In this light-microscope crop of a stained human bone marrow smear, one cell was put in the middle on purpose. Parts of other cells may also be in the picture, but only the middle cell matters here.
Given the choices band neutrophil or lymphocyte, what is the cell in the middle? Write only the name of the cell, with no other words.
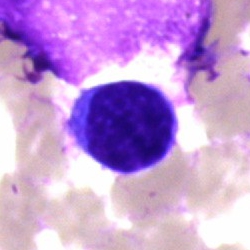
lymphocyte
